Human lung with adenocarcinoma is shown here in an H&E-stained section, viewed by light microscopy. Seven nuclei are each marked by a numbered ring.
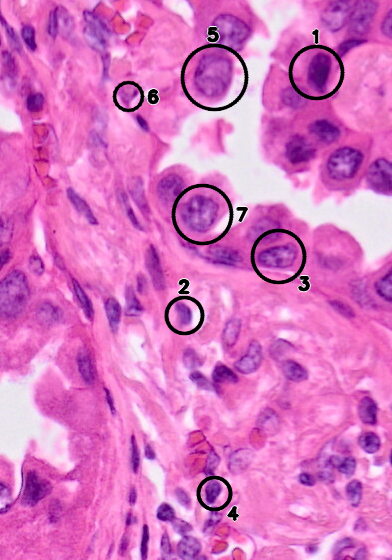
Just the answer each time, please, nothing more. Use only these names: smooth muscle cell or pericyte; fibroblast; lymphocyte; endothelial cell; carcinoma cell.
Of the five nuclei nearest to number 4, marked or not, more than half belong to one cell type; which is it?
endothelial cell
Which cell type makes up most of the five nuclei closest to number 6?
fibroblast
